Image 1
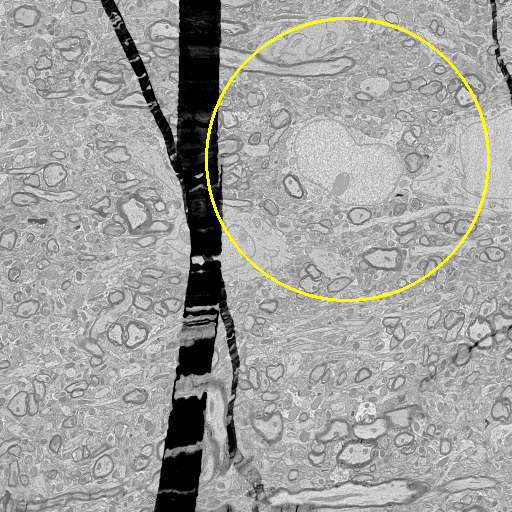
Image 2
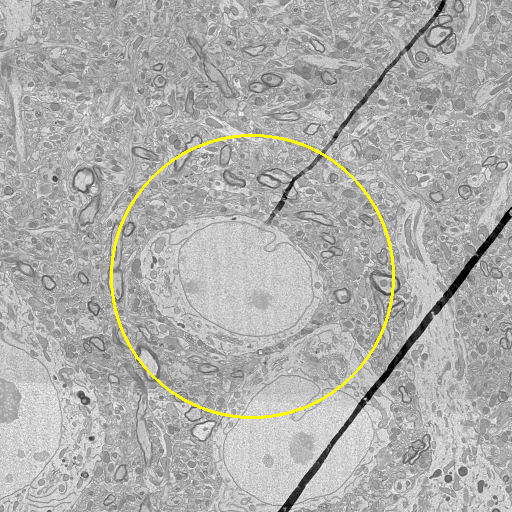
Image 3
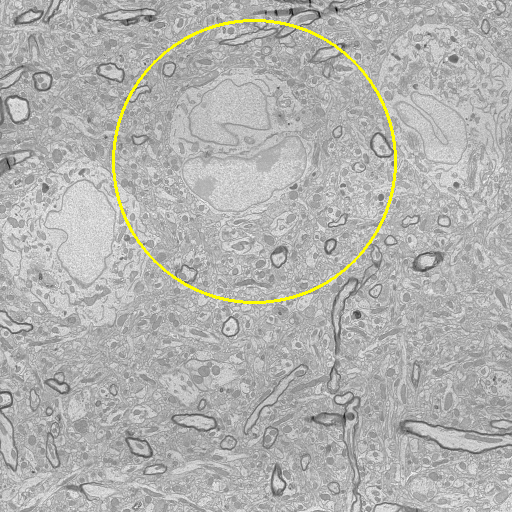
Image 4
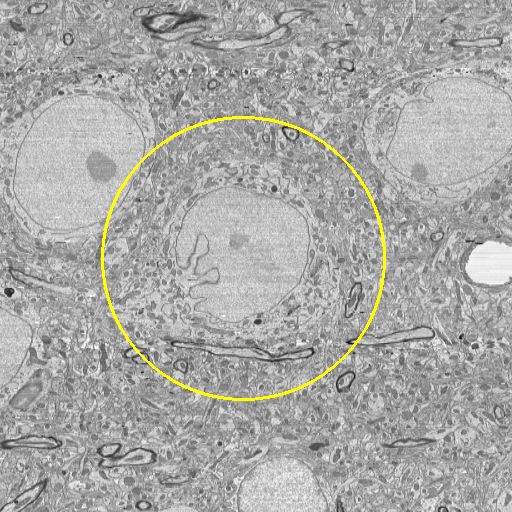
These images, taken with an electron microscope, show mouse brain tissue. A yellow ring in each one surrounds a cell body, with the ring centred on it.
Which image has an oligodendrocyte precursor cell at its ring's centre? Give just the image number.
3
